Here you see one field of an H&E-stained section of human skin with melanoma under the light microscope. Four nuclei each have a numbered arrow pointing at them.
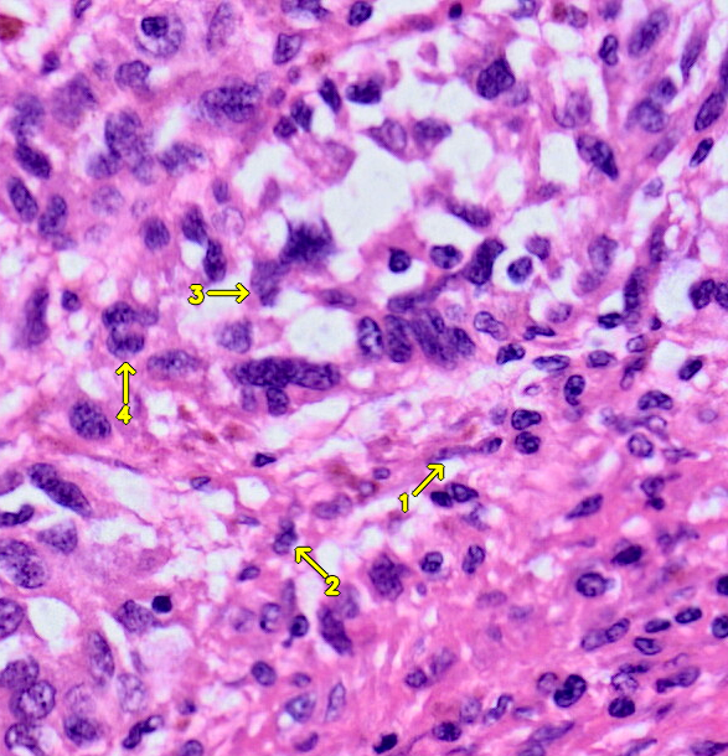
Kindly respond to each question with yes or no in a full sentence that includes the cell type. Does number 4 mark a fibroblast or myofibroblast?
No, number 4 does not mark a fibroblast or myofibroblast; it marks a melanoma cell.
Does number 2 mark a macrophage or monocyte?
Yes, the cell that goes by number 2 is a macrophage or monocyte.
